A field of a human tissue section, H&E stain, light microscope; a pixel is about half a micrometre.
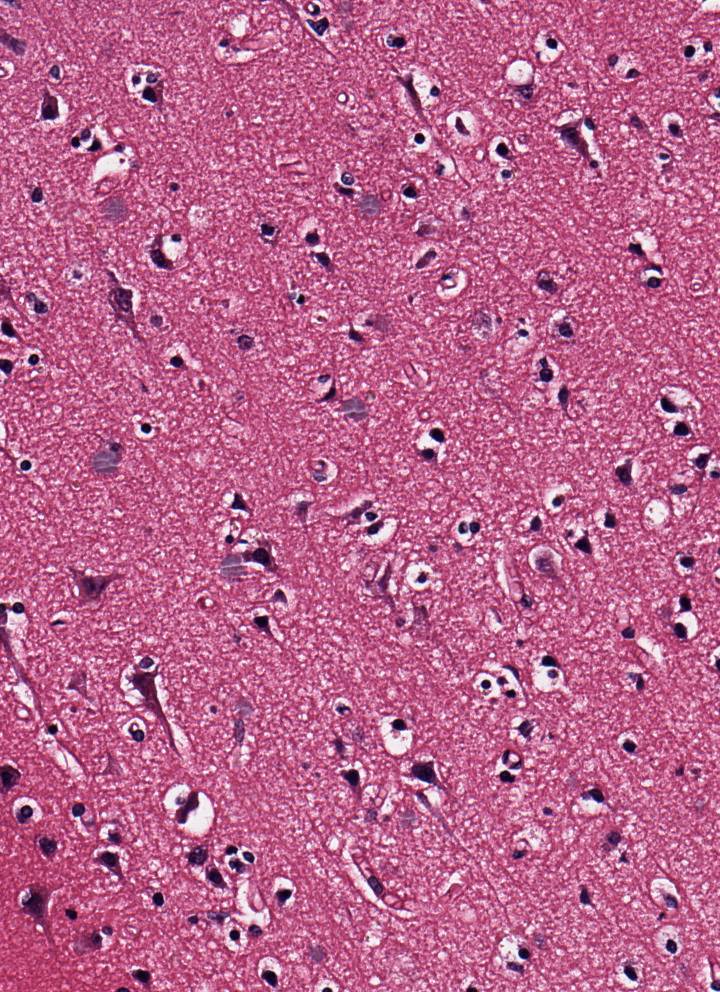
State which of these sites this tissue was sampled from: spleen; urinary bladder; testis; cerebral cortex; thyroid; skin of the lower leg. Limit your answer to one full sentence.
In this section is tissue sampled from the cerebral cortex.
